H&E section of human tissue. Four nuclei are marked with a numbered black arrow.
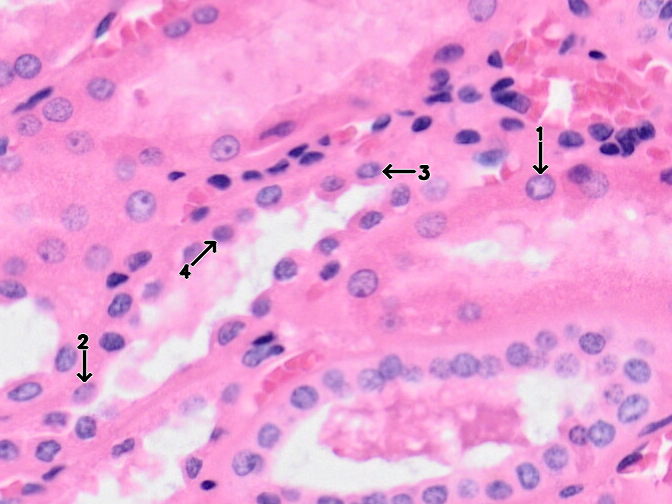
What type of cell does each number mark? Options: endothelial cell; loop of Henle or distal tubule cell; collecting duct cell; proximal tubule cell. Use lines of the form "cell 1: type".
cell 1: proximal tubule cell
cell 2: loop of Henle or distal tubule cell
cell 3: loop of Henle or distal tubule cell
cell 4: loop of Henle or distal tubule cell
